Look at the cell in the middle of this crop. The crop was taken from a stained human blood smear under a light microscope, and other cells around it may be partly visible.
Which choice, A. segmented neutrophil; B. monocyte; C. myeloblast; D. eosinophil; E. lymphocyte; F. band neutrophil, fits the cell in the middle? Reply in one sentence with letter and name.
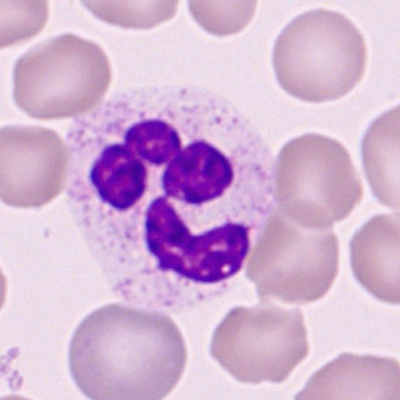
Correctly, option A names the cell in the middle a segmented neutrophil.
